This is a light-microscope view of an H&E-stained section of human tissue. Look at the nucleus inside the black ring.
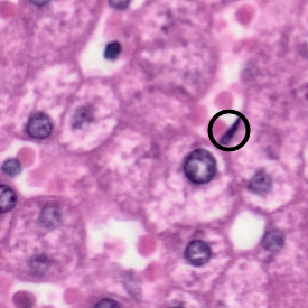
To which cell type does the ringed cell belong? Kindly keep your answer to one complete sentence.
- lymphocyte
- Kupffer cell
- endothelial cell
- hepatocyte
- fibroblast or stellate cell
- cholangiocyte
As to its cell type, the ringed cell is an endothelial cell.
